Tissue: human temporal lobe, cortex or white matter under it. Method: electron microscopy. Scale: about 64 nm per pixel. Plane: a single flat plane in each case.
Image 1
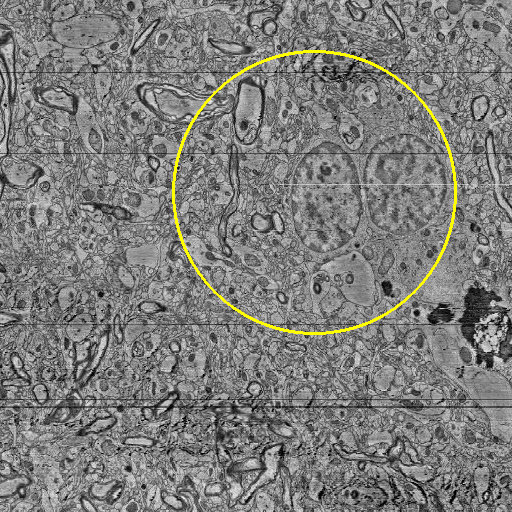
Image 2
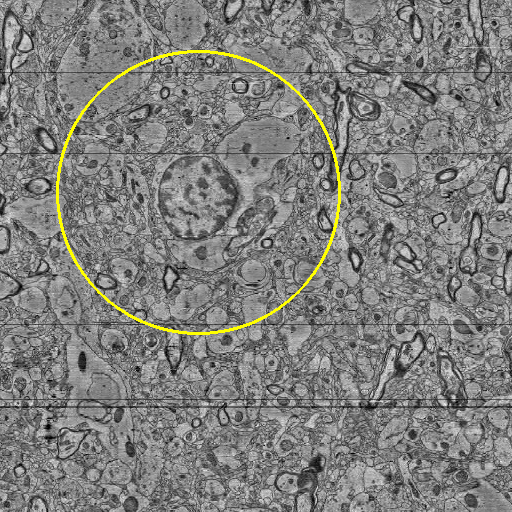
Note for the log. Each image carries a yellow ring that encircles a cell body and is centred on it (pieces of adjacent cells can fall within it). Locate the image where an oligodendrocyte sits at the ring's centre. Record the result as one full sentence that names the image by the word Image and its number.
Image 1 has the wanted cell sitting at the centre of its ring.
